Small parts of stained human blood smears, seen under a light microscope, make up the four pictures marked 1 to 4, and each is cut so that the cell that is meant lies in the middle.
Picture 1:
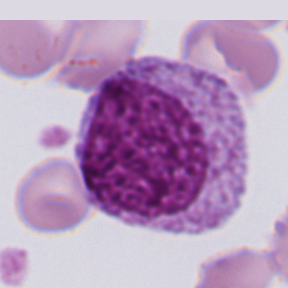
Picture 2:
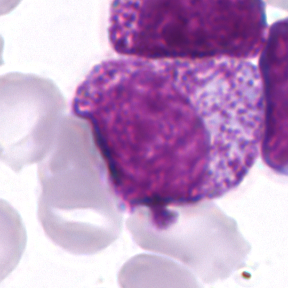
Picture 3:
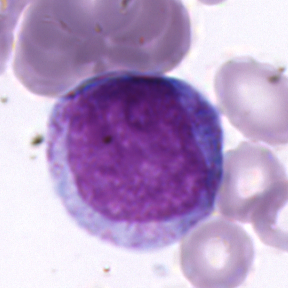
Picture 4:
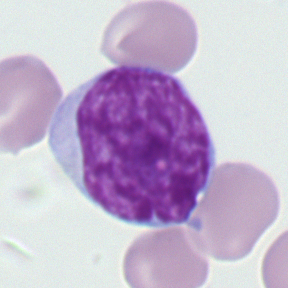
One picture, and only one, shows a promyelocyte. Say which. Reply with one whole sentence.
It is picture 3 that shows the promyelocyte.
